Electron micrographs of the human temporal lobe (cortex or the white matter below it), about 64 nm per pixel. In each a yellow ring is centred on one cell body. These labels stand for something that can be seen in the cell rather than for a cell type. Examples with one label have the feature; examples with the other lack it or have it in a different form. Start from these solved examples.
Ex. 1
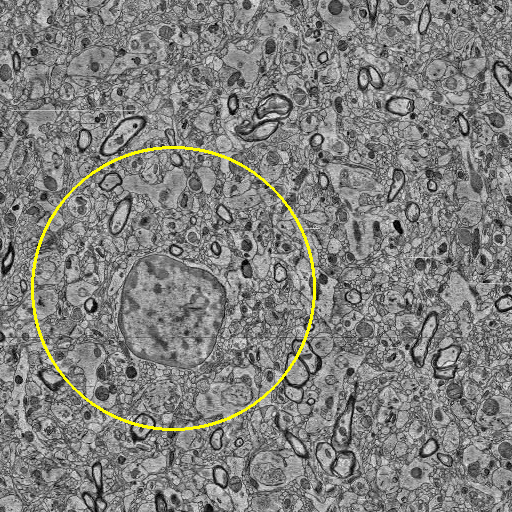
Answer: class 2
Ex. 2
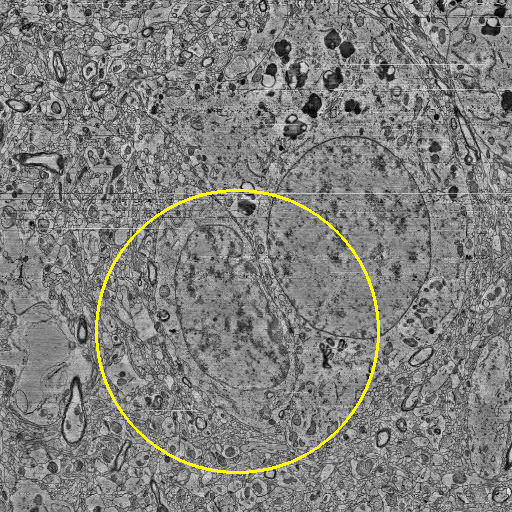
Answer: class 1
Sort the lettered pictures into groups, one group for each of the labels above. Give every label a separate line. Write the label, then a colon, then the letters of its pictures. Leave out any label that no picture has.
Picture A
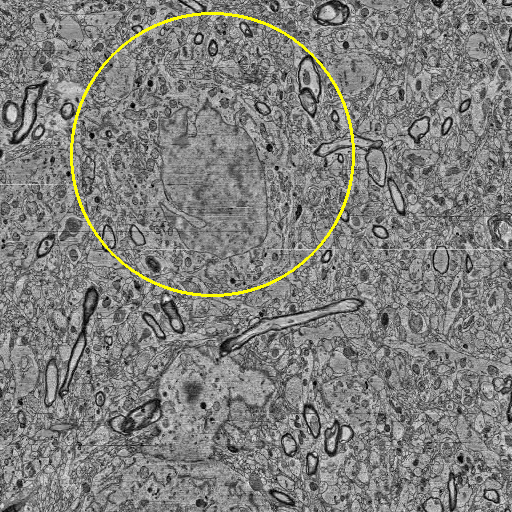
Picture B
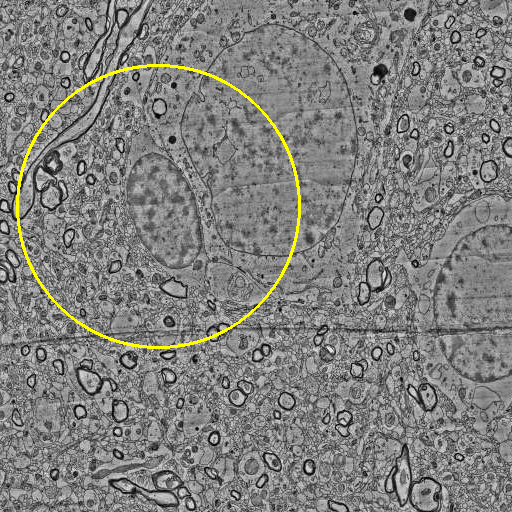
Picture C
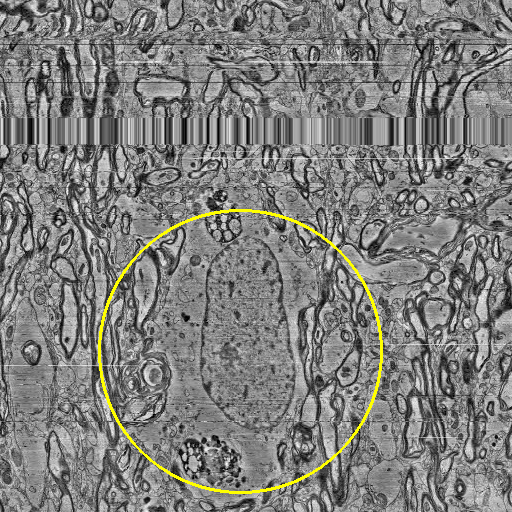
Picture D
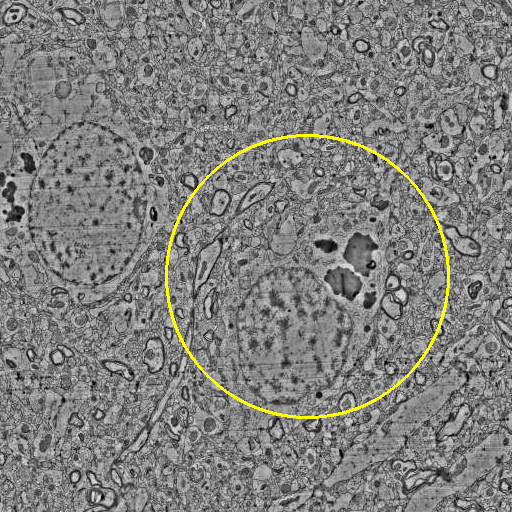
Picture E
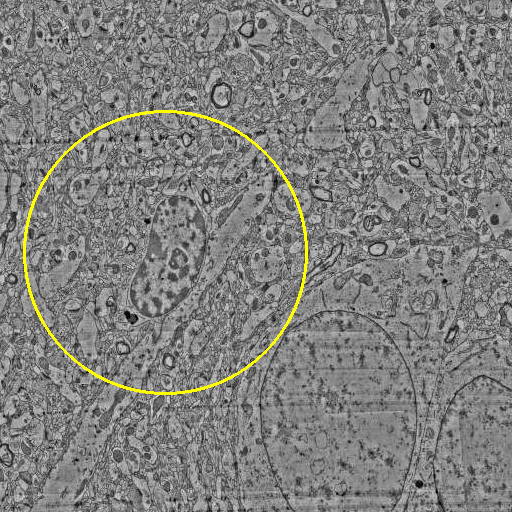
class 2: D
class 1: A, B, C, E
